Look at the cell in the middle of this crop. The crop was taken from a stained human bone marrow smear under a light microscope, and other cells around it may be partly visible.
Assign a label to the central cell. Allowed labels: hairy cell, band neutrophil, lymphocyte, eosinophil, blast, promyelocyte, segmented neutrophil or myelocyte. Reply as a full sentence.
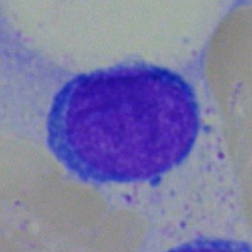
For this crop, the central cell is a blast.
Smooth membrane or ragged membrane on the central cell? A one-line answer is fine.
Not smooth, the outline of the cell is ragged or drawn out into projections.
